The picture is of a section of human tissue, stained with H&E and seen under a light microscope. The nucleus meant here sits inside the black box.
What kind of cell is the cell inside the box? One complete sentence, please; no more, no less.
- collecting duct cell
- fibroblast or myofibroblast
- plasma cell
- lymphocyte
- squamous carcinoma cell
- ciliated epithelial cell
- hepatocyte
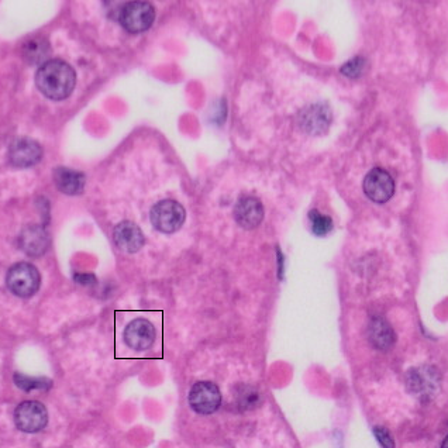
Typologically, the cell inside the box is a hepatocyte in this section.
